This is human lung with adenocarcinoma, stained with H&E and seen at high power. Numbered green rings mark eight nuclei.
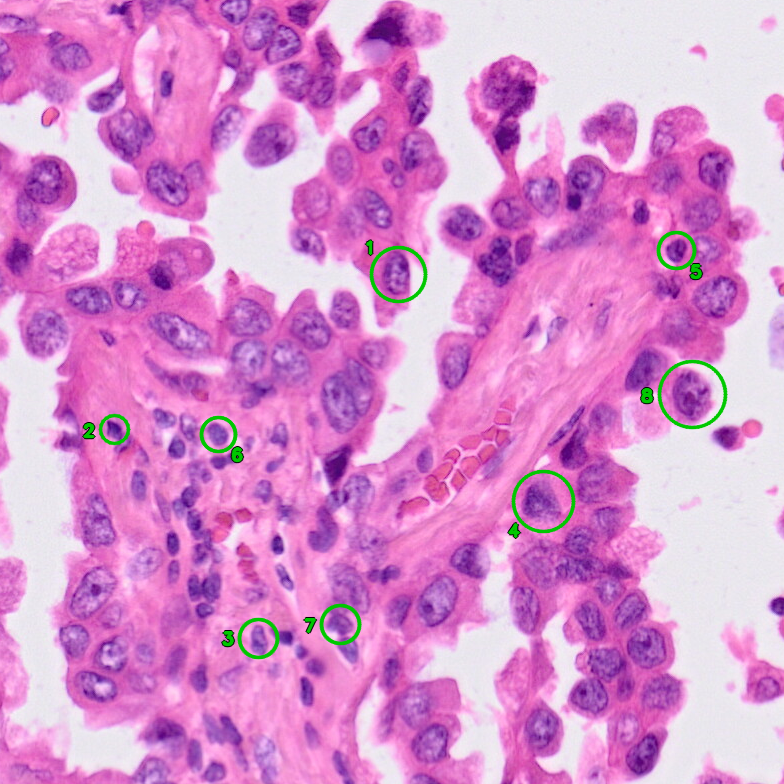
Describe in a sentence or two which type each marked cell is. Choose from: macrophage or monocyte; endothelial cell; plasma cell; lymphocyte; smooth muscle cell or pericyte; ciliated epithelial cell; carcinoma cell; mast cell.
Cells 1, 4 and 8 are carcinoma cells. Cells 2, 3, 5, 6 and 7 are lymphocytes.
